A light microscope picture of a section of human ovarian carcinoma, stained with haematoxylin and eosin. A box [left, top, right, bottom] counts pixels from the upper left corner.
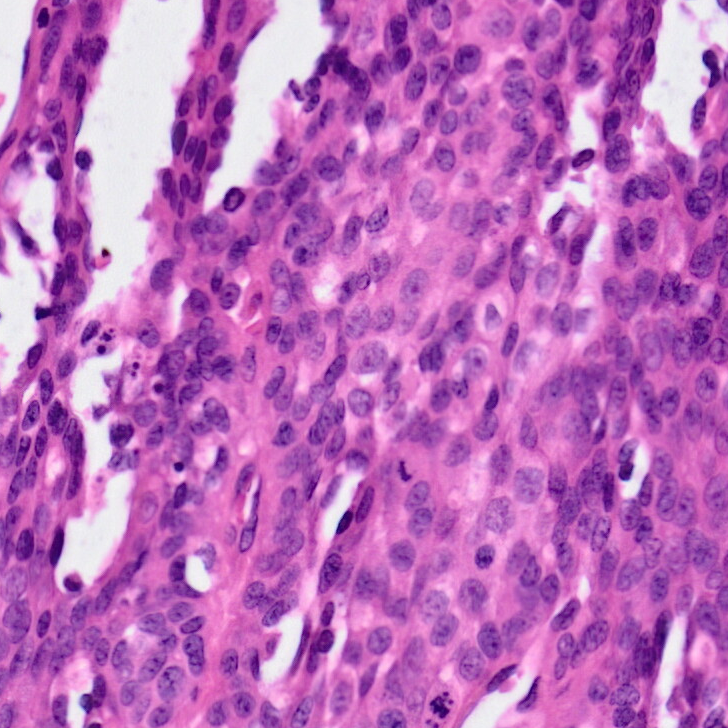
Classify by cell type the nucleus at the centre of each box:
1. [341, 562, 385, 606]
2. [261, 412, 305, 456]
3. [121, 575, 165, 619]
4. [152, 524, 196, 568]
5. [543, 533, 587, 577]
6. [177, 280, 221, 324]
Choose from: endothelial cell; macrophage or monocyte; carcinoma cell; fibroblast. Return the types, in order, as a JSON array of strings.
["carcinoma cell", "macrophage or monocyte", "carcinoma cell", "carcinoma cell", "macrophage or monocyte", "carcinoma cell"]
